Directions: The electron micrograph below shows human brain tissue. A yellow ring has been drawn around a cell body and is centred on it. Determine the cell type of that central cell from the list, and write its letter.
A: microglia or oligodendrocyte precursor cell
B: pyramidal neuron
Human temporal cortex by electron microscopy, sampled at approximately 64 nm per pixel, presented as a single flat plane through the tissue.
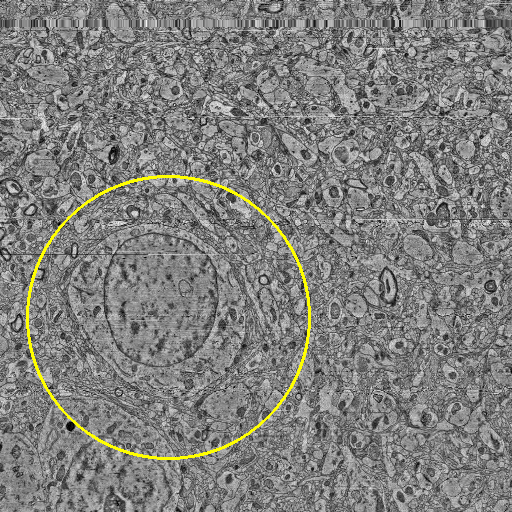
B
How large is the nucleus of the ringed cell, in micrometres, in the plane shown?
About 9 by 7 micrometers, in this plane.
